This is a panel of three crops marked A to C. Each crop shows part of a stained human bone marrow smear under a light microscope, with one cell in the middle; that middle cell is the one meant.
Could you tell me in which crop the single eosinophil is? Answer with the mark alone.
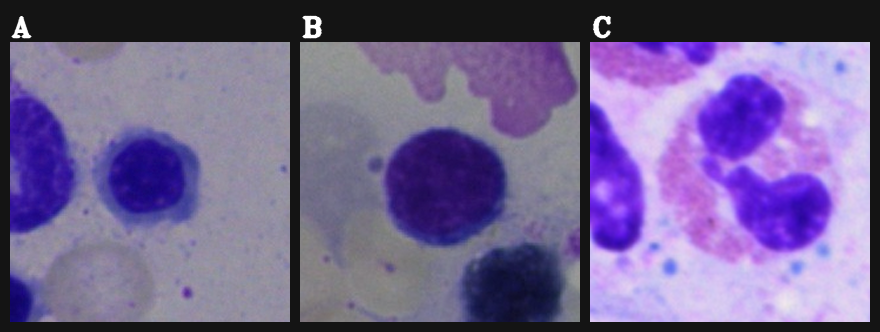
C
